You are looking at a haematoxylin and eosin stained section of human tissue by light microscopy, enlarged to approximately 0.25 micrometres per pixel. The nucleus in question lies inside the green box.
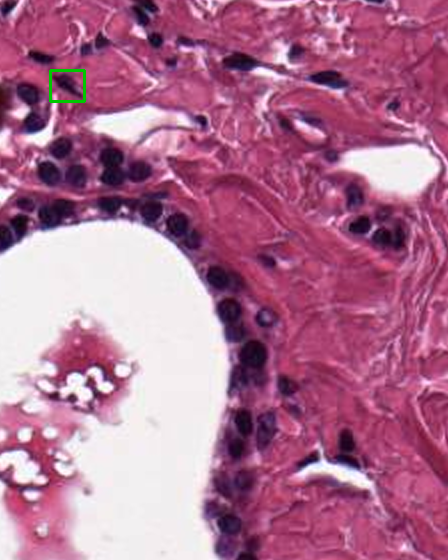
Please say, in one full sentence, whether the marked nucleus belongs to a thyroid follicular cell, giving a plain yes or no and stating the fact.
No, the marked nucleus is found in a supporting cell instead of in a thyroid follicular cell.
